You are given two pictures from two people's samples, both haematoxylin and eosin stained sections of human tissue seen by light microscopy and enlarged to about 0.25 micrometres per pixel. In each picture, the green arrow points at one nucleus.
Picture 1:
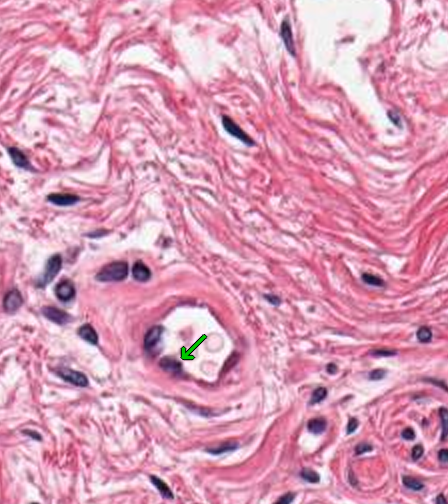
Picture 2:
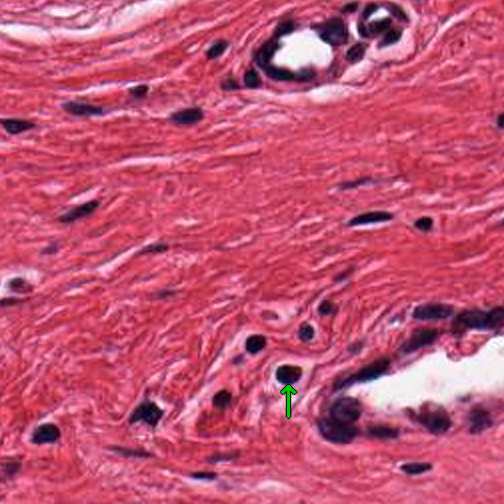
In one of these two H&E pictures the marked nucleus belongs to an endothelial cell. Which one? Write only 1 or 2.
1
